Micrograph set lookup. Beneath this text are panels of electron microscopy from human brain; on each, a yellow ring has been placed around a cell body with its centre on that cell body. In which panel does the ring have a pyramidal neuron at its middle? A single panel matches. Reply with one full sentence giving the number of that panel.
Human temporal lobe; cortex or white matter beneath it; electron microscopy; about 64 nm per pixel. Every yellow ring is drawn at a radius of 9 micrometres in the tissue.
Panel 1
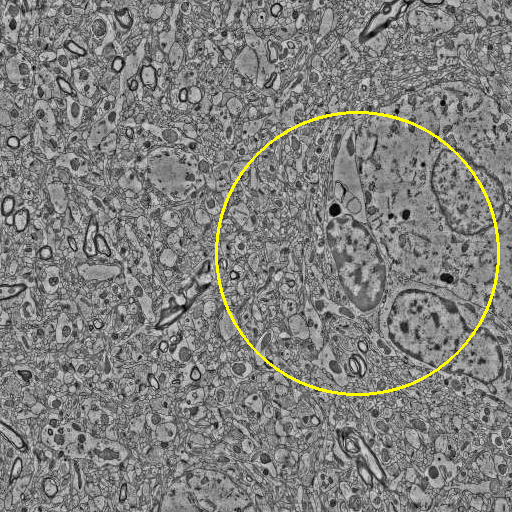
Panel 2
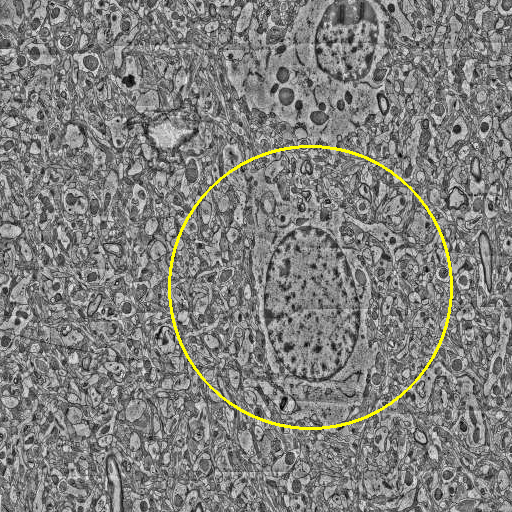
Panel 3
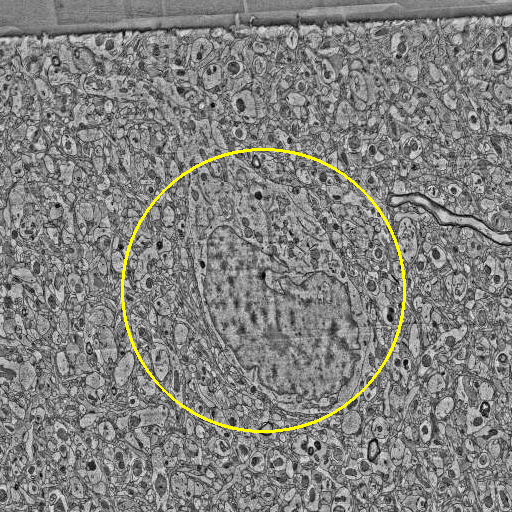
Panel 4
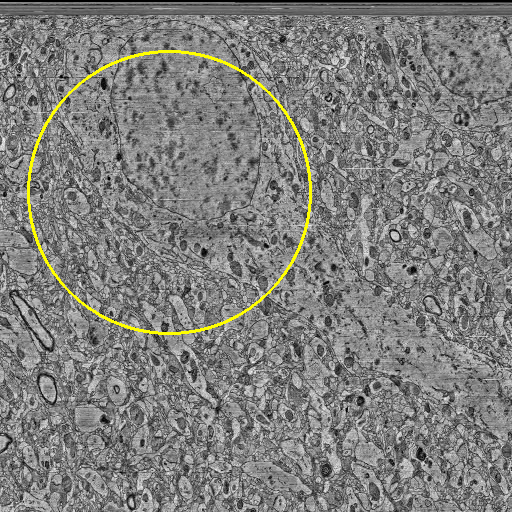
Panel 4 is the one whose ring has the sought cell at its centre.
